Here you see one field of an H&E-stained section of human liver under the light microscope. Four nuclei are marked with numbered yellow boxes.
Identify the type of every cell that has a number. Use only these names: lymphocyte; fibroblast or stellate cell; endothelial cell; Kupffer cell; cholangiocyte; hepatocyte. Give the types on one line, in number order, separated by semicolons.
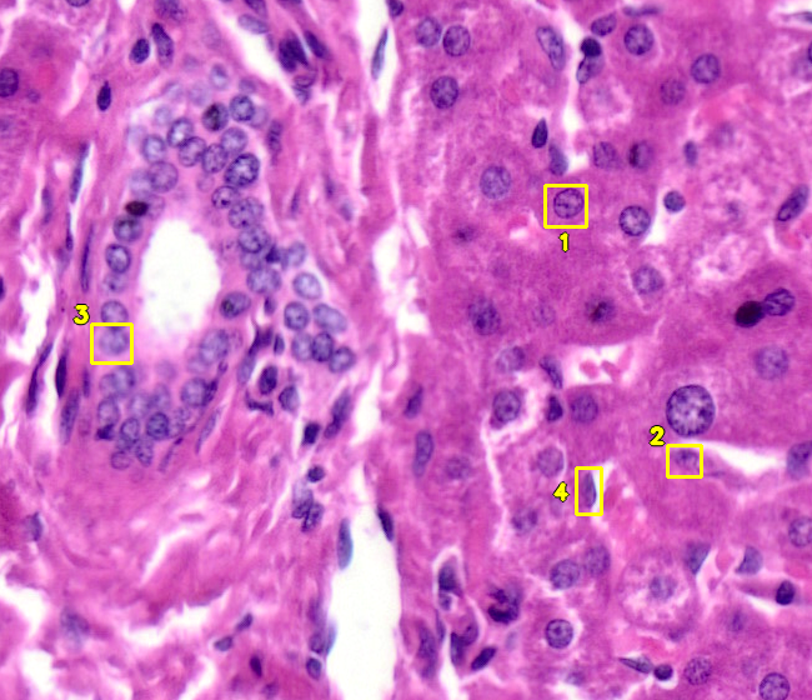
hepatocyte; Kupffer cell; cholangiocyte; endothelial cell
